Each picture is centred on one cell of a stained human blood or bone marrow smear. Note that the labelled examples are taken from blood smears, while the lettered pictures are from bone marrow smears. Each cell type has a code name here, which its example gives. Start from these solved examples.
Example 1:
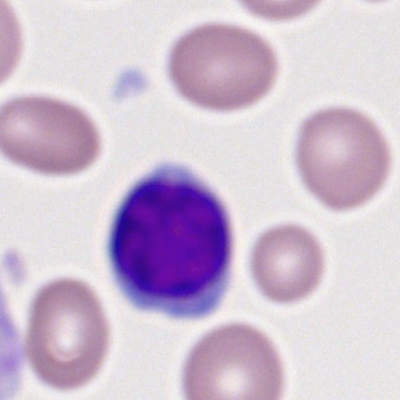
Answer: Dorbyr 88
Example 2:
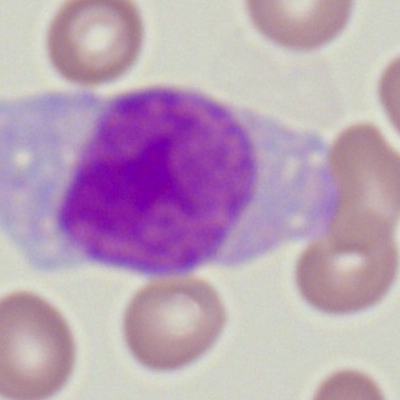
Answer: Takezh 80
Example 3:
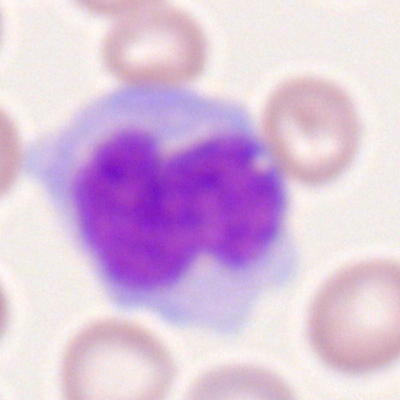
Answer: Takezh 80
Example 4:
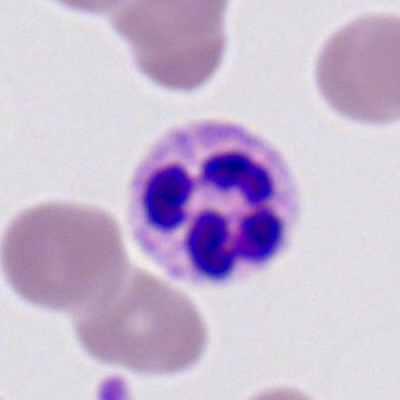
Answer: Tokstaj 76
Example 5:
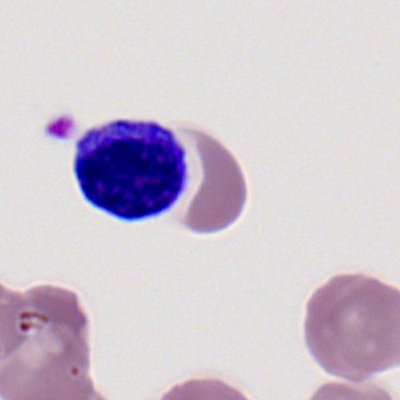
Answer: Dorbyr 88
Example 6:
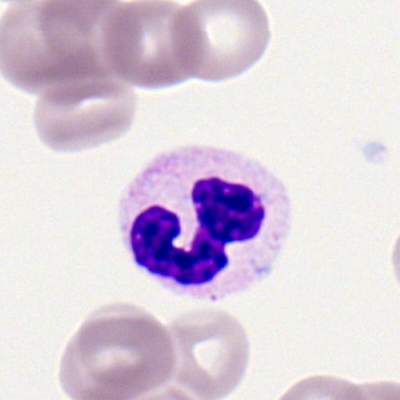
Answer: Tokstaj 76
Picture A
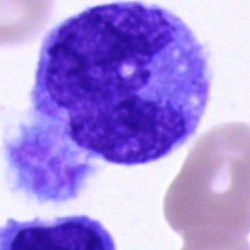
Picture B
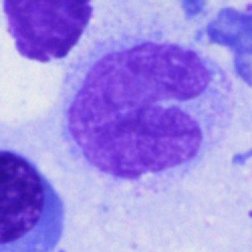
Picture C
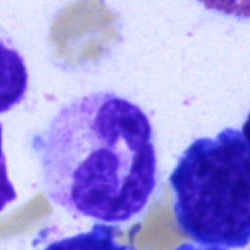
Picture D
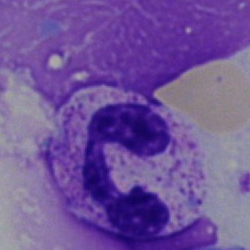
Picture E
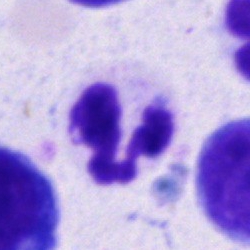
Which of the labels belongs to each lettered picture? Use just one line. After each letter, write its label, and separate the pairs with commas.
A Takezh 80, B Takezh 80, C Tokstaj 76, D Tokstaj 76, E Tokstaj 76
